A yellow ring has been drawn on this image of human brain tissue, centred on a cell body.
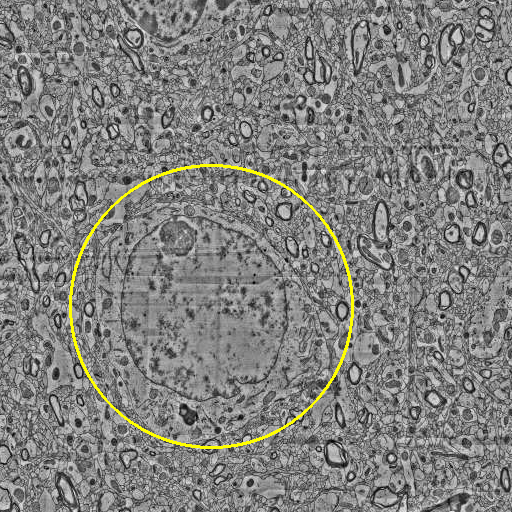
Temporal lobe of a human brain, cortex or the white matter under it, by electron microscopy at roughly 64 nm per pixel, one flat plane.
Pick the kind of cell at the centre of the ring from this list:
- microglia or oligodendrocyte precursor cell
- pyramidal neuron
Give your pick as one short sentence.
The centre of the ring holds a pyramidal neuron.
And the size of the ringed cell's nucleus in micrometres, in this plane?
In this plane, the nucleus of the cell at the centre of the ring is about 11 micrometres across.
